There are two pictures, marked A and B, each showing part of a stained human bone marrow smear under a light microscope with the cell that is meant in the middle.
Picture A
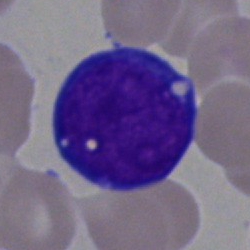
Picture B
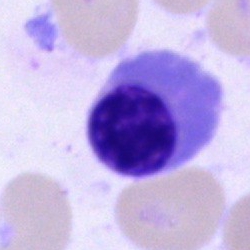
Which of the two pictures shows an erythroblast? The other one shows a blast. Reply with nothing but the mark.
B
